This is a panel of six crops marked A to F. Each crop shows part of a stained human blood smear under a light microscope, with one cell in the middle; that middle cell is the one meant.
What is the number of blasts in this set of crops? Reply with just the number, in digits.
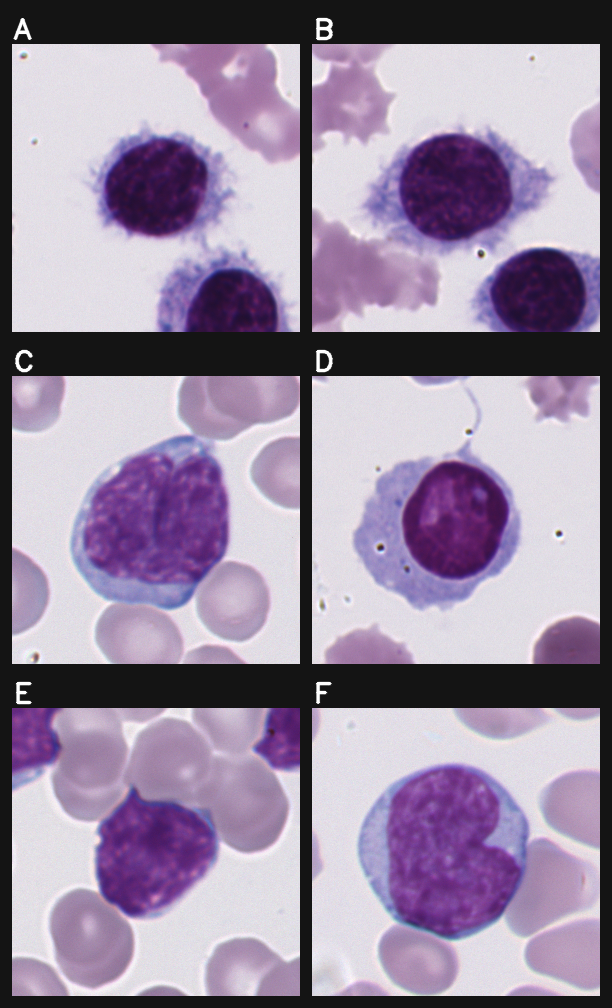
2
